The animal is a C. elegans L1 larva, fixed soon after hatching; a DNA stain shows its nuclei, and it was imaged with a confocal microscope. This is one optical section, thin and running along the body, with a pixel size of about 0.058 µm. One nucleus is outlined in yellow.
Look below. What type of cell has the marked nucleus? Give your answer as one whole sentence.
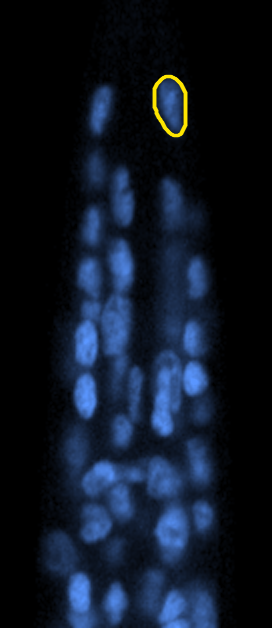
The marked nucleus belongs to a hypodermal cell (hyp).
